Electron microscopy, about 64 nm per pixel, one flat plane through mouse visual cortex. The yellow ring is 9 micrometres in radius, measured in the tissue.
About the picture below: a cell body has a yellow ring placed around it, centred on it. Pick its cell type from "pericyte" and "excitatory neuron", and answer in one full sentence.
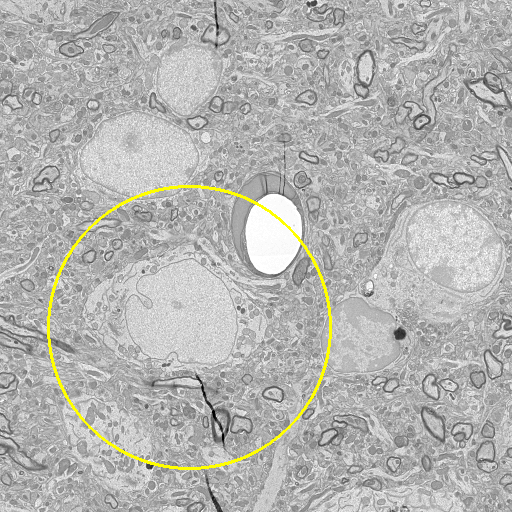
In the picture, an excitatory neuron is the cell sitting at the centre of the yellow ring.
